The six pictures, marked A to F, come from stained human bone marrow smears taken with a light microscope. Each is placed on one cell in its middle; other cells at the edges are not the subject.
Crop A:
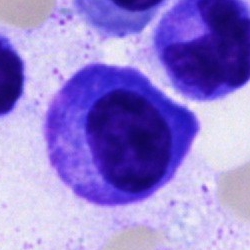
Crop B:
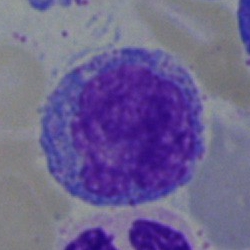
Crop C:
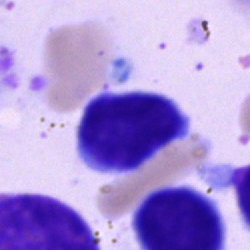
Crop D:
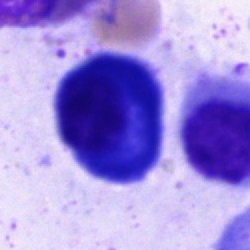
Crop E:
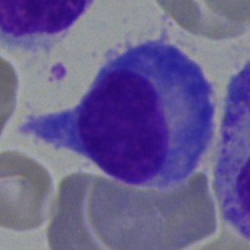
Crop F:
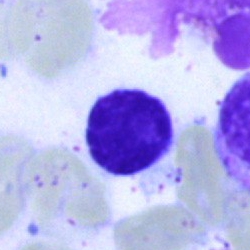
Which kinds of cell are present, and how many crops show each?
plasma cell: 3
lymphocyte: 2
monocyte: 1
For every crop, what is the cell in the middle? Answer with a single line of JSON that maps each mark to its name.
{"A": "plasma cell", "B": "monocyte", "C": "lymphocyte", "D": "plasma cell", "E": "plasma cell", "F": "lymphocyte"}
